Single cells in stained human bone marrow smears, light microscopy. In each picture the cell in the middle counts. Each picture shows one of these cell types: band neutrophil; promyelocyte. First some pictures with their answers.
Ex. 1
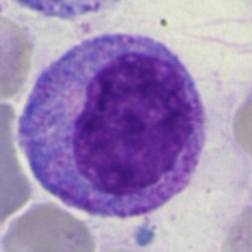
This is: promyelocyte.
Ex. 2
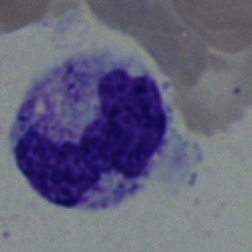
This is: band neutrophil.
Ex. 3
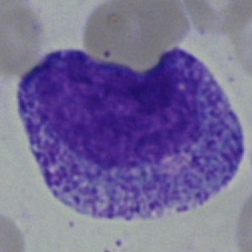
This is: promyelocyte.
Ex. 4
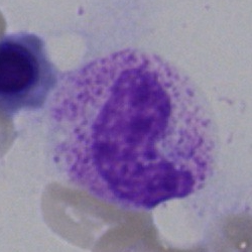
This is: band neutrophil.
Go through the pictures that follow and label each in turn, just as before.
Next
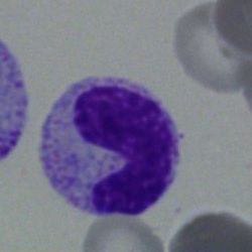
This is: band neutrophil.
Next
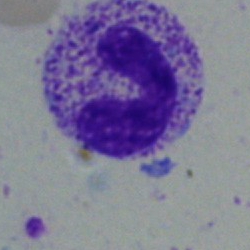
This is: band neutrophil.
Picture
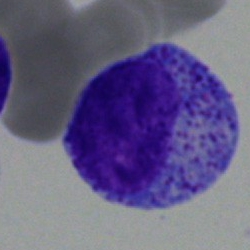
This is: promyelocyte.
